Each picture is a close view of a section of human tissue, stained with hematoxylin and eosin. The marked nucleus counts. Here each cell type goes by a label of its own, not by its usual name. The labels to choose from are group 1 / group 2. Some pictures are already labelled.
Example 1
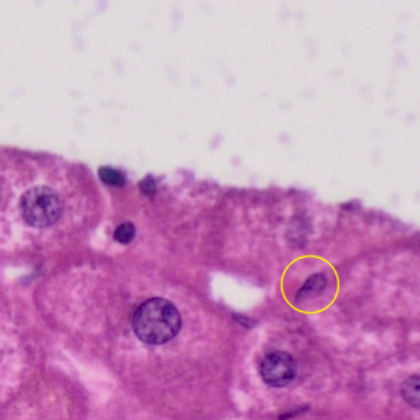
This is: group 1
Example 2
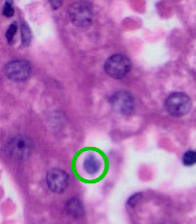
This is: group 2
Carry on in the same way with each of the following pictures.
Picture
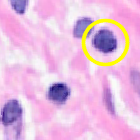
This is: group 2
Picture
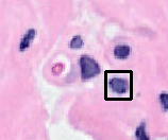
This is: group 2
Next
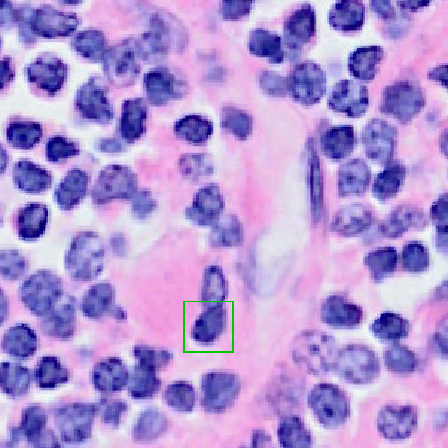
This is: group 2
